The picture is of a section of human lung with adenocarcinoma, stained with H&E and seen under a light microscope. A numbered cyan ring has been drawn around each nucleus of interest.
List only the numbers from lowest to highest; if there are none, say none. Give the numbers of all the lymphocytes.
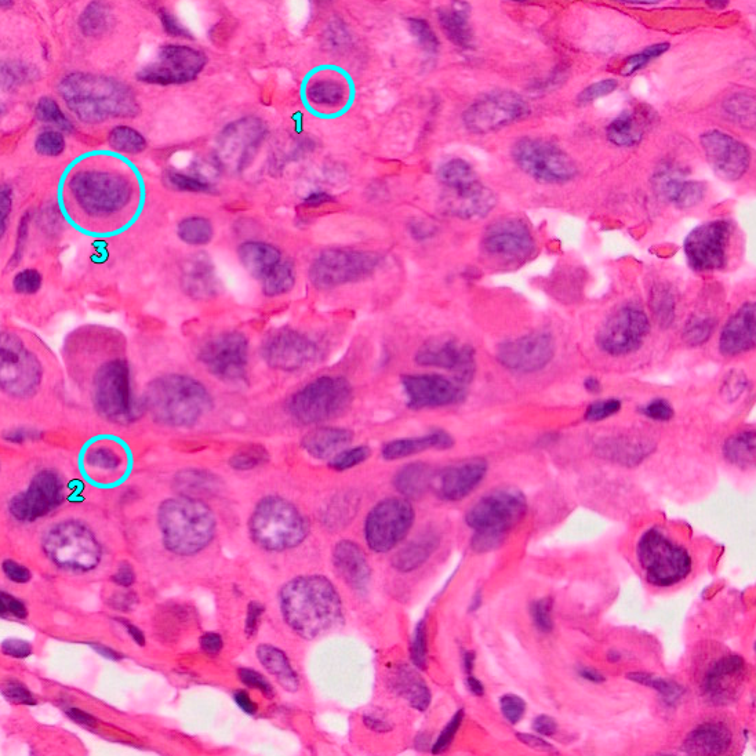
2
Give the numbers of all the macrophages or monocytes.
1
